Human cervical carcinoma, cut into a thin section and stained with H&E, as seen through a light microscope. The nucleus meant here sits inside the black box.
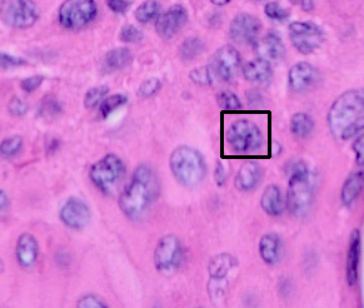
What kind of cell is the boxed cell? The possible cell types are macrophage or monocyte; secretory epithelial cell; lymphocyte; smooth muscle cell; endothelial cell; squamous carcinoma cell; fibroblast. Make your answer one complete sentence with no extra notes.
The classification of the boxed cell is as a squamous carcinoma cell.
